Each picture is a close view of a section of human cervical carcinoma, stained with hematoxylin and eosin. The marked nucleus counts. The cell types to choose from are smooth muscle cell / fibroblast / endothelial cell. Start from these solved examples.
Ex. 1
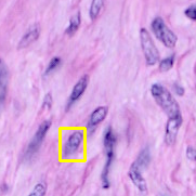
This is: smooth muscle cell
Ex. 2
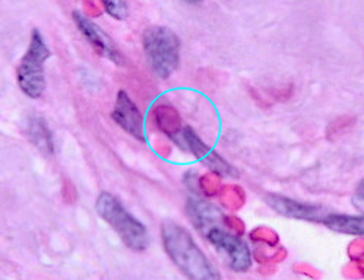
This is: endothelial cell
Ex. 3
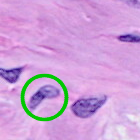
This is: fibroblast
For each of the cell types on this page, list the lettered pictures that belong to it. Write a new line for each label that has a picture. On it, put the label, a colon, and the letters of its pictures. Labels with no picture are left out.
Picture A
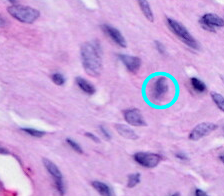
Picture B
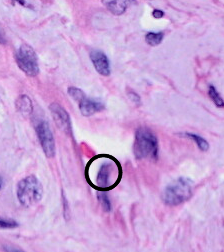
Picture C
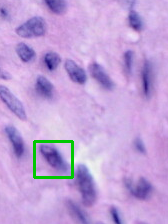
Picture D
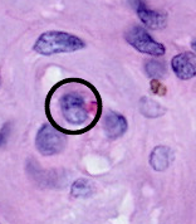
fibroblast: A, C
endothelial cell: B, D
